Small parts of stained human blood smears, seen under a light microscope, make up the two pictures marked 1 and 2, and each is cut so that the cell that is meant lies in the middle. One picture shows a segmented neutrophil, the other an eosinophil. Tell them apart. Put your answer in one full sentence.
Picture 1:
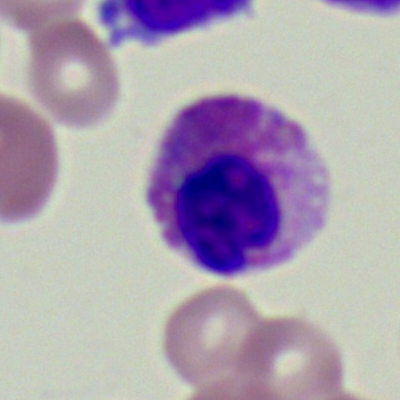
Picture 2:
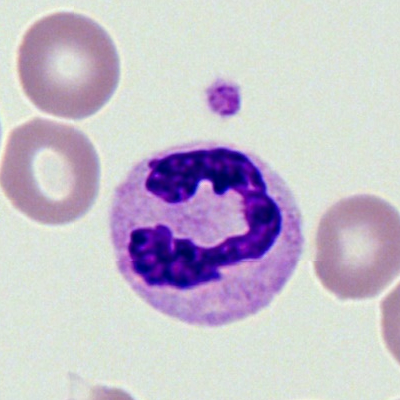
In picture 1 the cell is an eosinophil; in picture 2, a segmented neutrophil.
